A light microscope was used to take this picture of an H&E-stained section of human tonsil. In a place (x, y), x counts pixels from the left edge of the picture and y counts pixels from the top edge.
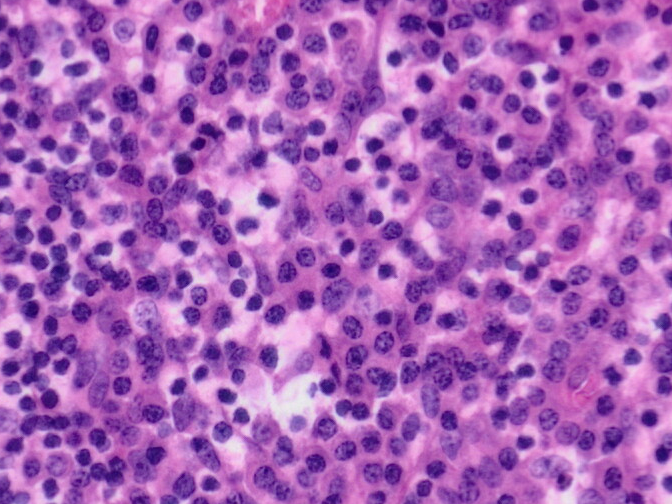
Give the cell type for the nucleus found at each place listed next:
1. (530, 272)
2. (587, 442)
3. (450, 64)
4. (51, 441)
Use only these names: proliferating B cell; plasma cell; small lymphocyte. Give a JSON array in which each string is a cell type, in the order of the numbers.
["plasma cell", "plasma cell", "plasma cell", "small lymphocyte"]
